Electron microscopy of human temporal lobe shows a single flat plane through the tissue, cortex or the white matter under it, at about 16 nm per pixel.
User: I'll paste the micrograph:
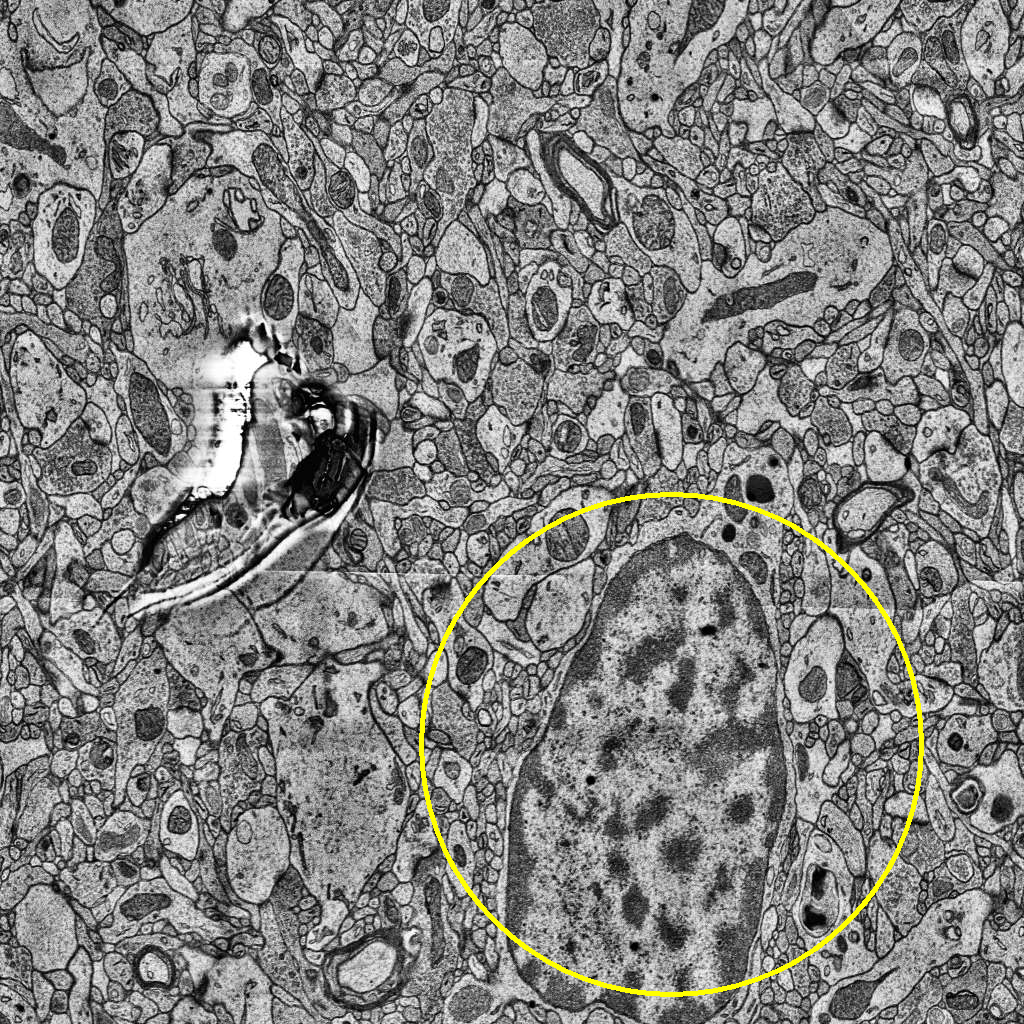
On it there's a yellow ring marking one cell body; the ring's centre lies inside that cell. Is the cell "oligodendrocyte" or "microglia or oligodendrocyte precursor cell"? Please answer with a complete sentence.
The cell at the centre of the yellow ring is a microglial cell or oligodendrocyte precursor cell.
